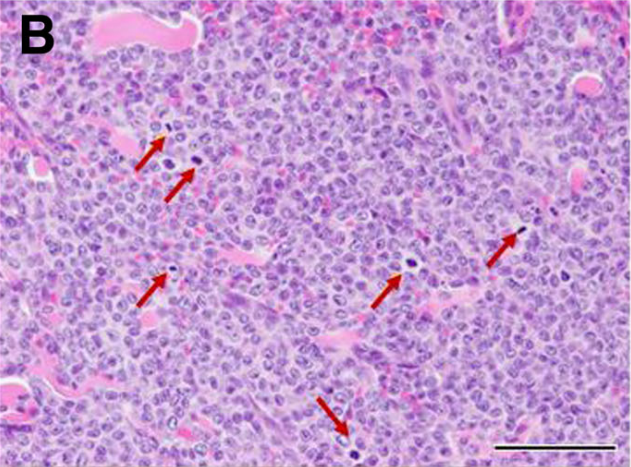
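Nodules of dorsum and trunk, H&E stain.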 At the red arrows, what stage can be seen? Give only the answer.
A: mitotic activity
